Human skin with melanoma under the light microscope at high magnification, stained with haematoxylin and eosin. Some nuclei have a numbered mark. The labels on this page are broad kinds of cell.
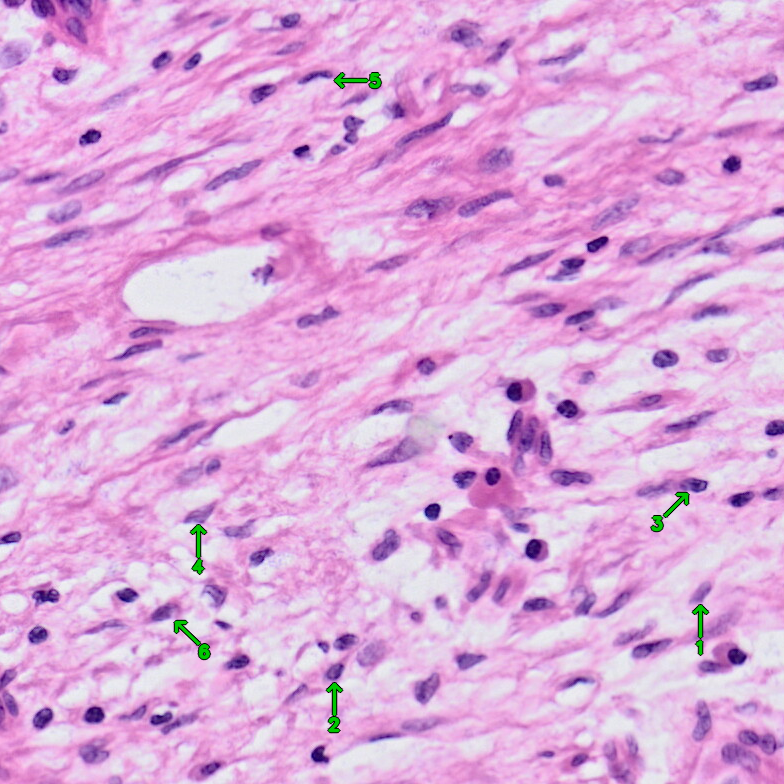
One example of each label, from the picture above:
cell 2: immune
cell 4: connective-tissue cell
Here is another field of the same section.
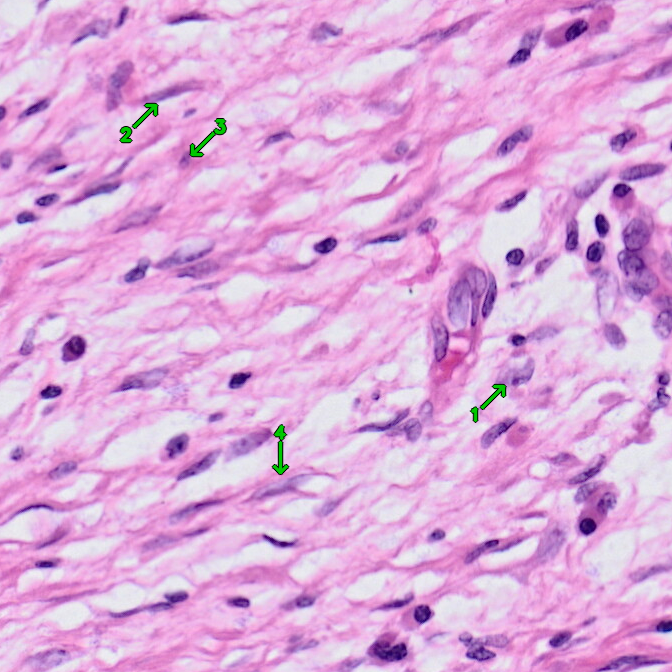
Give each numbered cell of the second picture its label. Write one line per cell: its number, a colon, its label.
1: connective-tissue cell
2: connective-tissue cell
3: immune
4: connective-tissue cell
